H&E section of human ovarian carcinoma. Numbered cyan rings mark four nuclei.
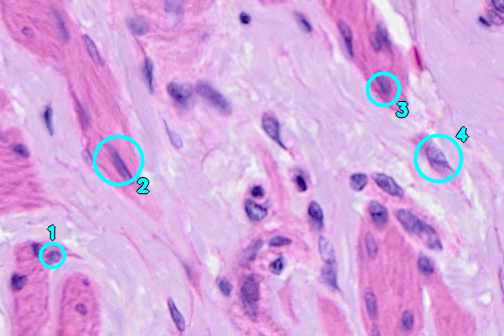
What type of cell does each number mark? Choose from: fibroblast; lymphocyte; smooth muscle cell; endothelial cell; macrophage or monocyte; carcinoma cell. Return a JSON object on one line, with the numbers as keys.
{"1": "smooth muscle cell", "2": "smooth muscle cell", "3": "smooth muscle cell", "4": "fibroblast"}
